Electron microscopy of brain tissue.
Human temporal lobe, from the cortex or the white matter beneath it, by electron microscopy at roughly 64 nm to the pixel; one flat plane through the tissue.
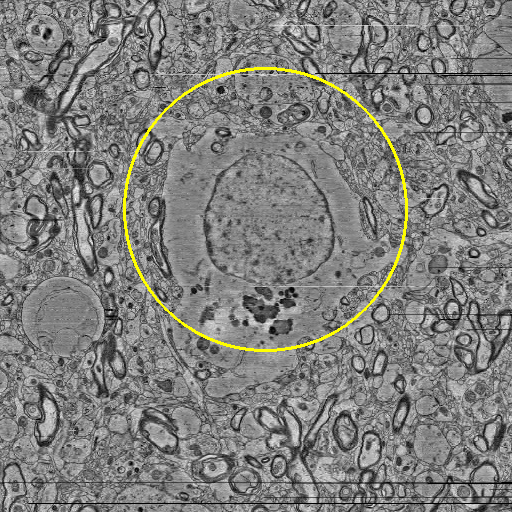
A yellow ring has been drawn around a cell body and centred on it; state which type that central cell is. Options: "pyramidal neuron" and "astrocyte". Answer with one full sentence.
The cell at the middle of the yellow ring is an astrocyte in this picture.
